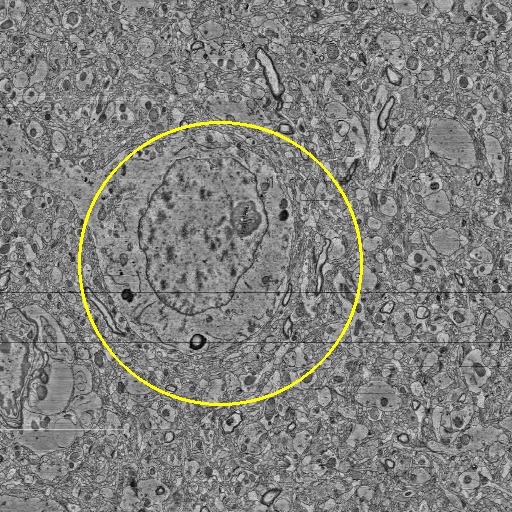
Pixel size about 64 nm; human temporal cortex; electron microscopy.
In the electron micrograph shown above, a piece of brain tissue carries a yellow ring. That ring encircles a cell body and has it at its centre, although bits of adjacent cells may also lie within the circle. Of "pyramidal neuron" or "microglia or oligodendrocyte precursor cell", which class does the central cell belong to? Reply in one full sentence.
The cell body at the centre of the yellow ring belongs to a pyramidal neuron.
